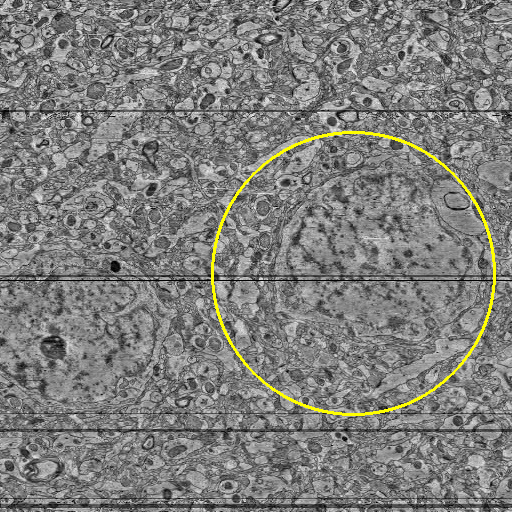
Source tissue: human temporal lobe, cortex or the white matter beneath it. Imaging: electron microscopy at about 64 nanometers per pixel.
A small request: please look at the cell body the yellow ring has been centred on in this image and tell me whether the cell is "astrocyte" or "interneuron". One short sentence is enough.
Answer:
The cell marked by the ring is an interneuron.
